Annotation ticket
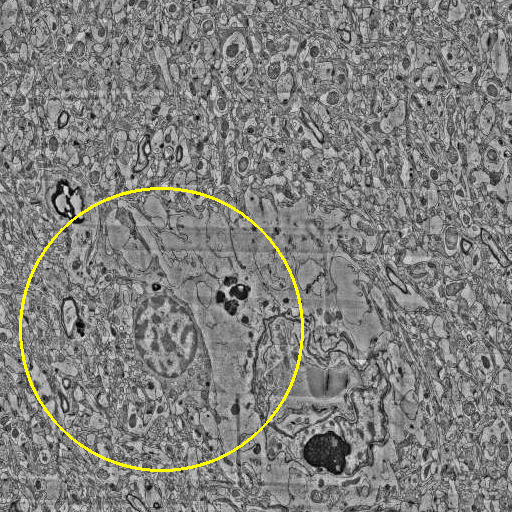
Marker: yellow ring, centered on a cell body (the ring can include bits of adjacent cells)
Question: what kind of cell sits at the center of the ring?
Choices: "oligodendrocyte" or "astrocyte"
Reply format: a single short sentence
The ring is centered on an oligodendrocyte.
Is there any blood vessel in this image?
Yes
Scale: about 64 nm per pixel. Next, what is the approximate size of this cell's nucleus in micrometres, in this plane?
About 5 by 4 micrometers, in this plane.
